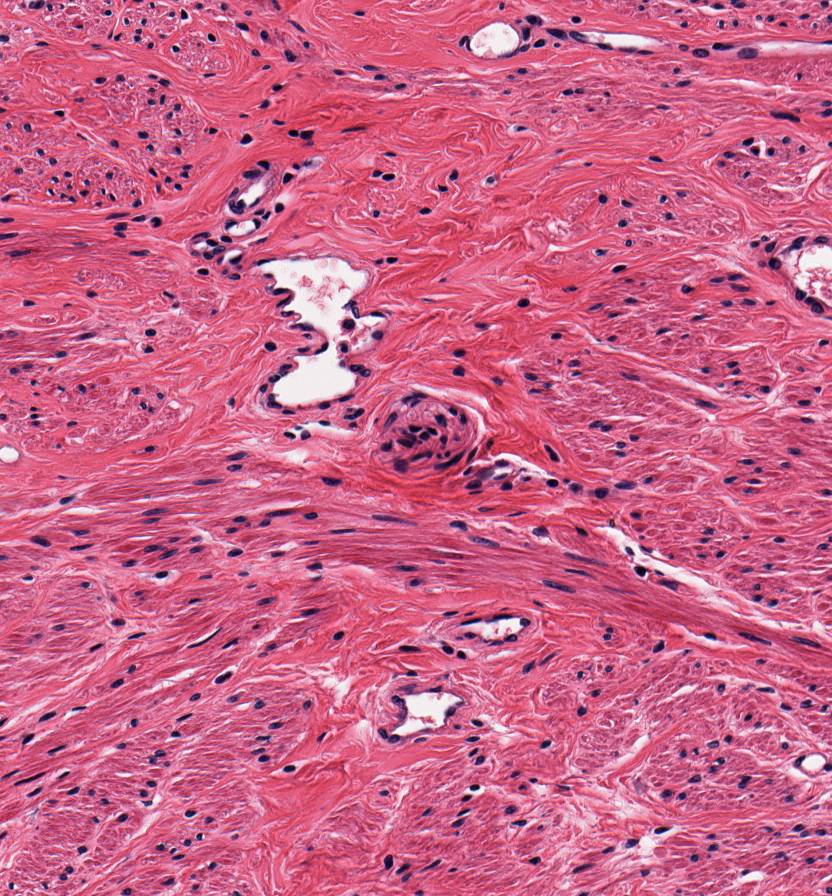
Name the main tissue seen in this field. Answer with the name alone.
dense connective tissue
